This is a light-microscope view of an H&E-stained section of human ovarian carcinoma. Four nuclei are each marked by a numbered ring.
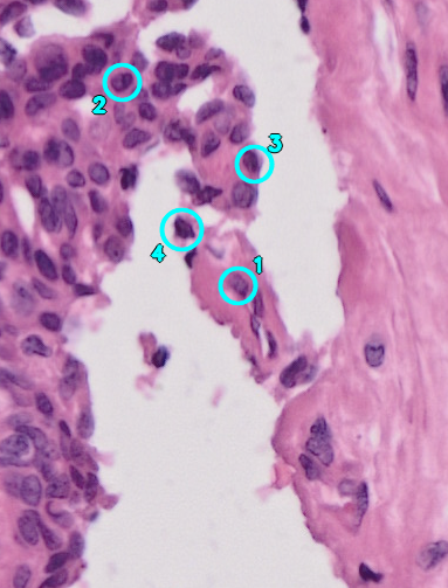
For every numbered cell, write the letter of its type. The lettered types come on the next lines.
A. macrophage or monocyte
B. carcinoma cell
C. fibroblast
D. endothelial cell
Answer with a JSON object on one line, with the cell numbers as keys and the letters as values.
{"1": "D", "2": "B", "3": "B", "4": "B"}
